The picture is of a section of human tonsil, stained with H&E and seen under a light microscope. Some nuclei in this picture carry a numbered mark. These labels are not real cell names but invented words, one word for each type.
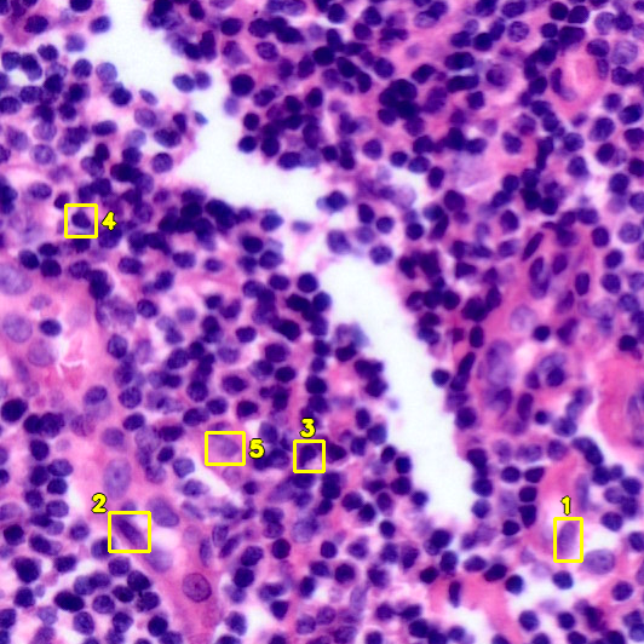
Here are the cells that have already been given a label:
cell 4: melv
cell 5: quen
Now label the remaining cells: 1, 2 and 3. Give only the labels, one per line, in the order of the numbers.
quen
quen
melv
